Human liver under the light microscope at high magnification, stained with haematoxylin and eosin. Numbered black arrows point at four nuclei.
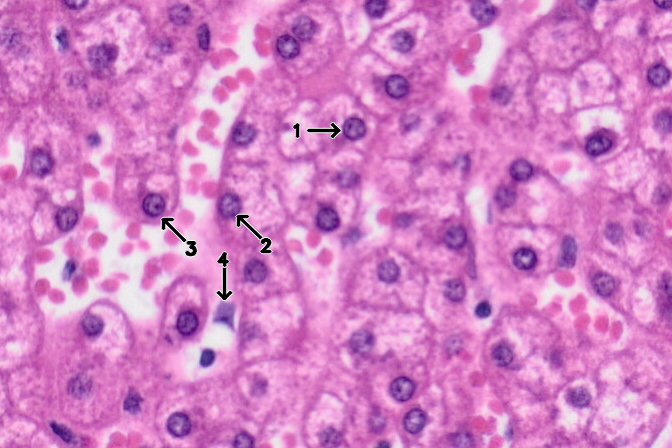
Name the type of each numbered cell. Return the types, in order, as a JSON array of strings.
["hepatocyte", "hepatocyte", "hepatocyte", "endothelial cell"]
